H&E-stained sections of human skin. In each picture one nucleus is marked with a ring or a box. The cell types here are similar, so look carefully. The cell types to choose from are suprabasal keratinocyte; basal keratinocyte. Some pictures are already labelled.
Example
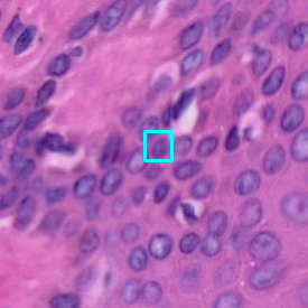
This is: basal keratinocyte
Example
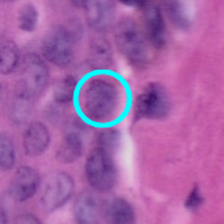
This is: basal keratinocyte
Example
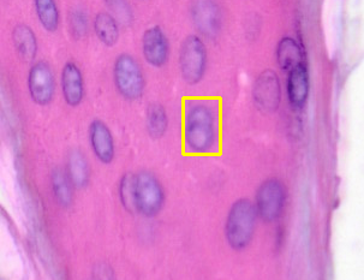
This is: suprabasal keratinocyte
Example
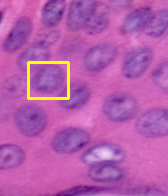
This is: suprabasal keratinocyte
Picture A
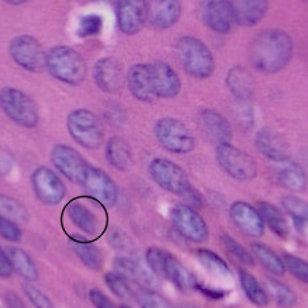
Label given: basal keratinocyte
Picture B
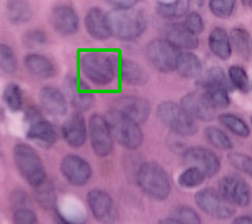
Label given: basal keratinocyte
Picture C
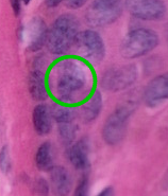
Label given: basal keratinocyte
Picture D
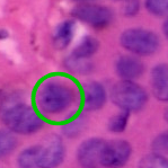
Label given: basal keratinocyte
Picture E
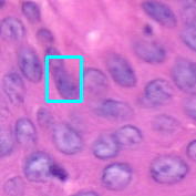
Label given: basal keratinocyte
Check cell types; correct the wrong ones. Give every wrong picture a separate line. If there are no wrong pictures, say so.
All correct.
